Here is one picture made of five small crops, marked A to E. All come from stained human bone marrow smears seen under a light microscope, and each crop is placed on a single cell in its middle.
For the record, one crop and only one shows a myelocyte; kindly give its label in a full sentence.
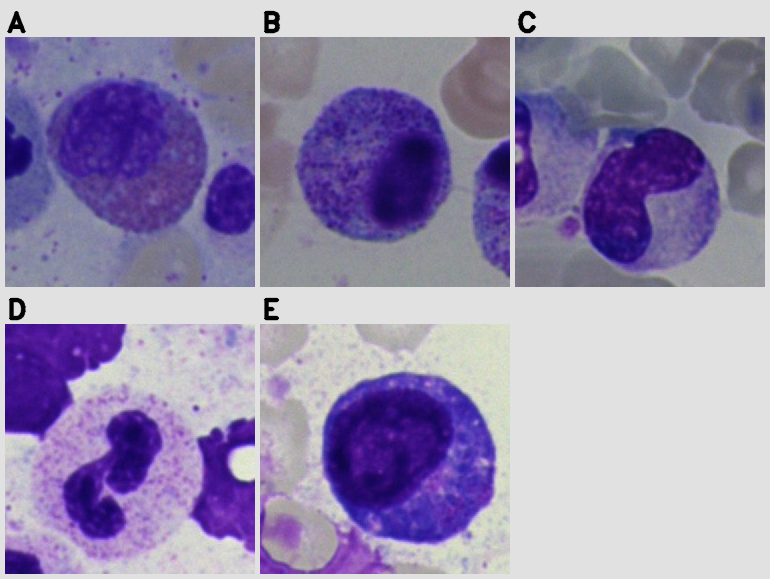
So the crop with a myelocyte at its center is crop B.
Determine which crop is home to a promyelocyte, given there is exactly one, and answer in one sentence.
Within this set, crop E is the one with a promyelocyte at its center.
